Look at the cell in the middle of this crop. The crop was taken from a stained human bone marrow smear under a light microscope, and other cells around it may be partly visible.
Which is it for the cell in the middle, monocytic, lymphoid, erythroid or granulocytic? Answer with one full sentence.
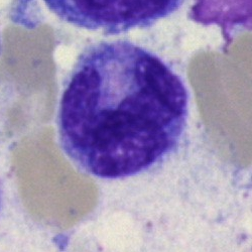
It is of the monocytic lineage that the central cell is a member.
